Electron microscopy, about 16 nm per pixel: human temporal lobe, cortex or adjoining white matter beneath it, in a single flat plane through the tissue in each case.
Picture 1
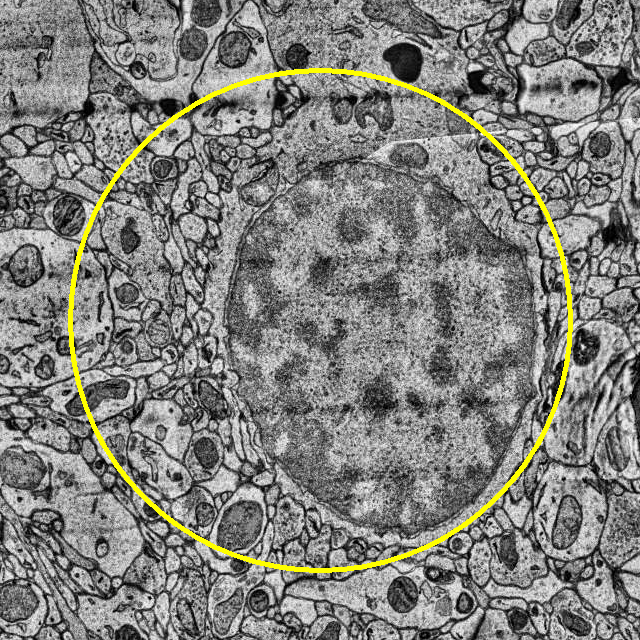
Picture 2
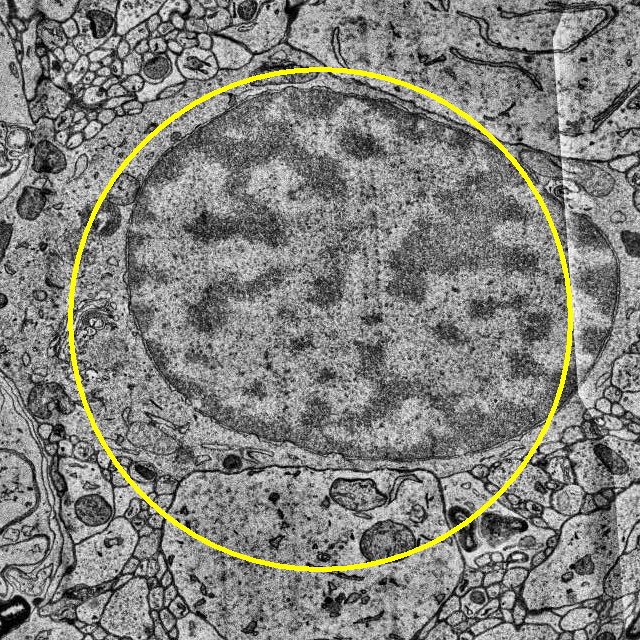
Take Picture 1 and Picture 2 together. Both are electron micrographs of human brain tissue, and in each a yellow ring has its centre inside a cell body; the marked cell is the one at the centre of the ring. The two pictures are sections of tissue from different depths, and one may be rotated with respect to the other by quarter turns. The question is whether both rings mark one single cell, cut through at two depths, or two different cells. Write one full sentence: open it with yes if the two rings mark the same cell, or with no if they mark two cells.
Yes, the rings do not mark different cells but one cell.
